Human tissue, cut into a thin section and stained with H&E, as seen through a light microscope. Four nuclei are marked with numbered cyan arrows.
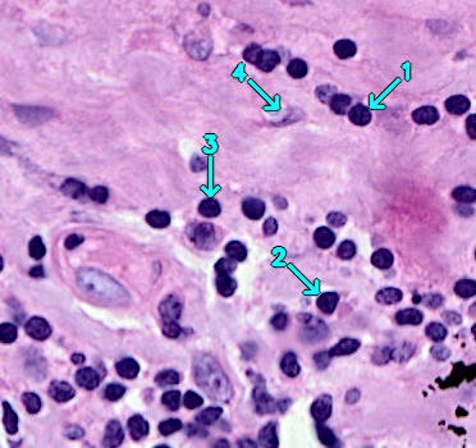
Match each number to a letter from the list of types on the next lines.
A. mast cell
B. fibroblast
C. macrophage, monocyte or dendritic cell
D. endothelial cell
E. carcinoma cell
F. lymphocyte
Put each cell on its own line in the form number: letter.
1: F
2: F
3: F
4: B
